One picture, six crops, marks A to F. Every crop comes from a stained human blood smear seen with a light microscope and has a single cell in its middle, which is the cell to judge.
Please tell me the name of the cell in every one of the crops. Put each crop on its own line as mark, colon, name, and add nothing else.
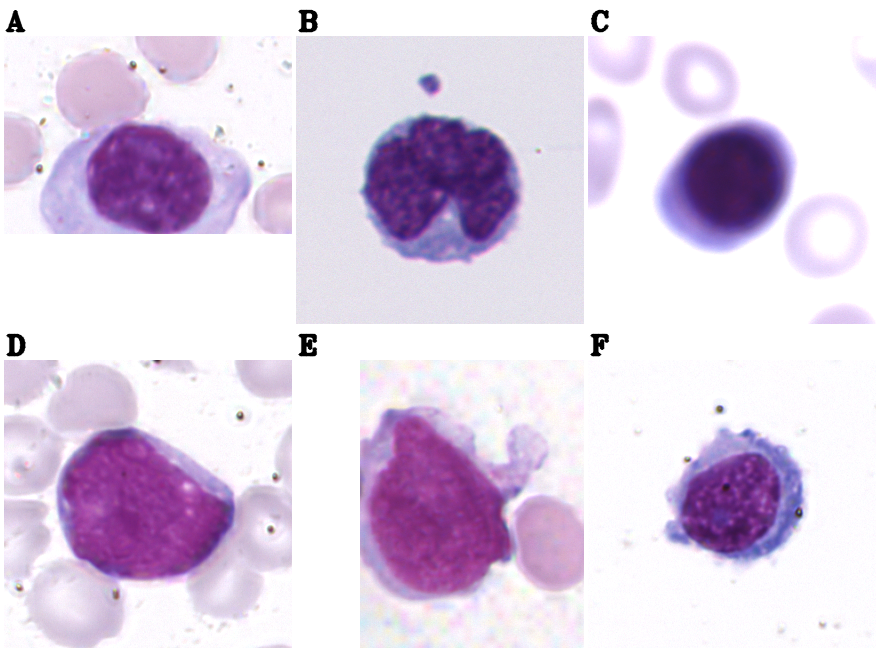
A: plasma cell
B: monocyte
C: erythroblast
D: myeloblast
E: atypical promyelocyte
F: plasma cell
